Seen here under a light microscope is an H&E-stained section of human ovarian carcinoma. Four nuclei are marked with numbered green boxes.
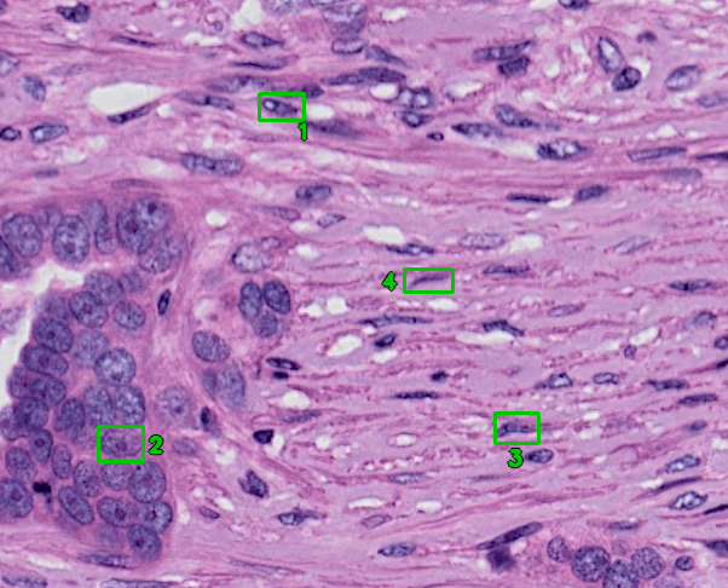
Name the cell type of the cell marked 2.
carcinoma cell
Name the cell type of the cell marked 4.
fibroblast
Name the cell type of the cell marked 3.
fibroblast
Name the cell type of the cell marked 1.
fibroblast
